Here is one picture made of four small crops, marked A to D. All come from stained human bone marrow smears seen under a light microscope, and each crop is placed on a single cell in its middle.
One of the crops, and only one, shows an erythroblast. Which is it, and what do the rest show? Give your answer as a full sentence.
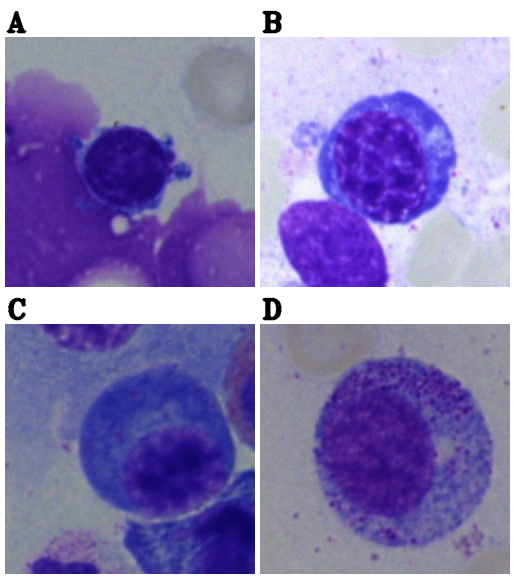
So crop B shows an erythroblast, while crop A is a lymphocyte, crop C is a plasma cell and crop D is a promyelocyte.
